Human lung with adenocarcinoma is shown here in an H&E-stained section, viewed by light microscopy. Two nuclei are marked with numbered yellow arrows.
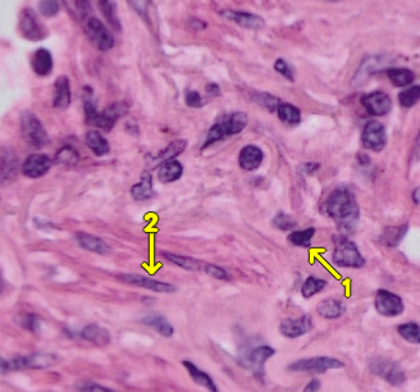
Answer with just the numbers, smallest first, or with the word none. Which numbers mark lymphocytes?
1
